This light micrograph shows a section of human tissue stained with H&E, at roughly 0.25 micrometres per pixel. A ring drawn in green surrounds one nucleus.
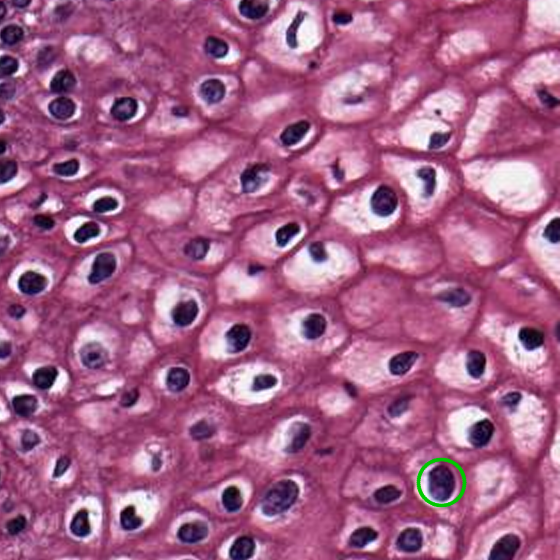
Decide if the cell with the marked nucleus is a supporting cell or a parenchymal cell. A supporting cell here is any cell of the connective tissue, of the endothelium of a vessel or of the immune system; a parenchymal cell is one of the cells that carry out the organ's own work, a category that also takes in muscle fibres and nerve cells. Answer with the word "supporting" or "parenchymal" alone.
parenchymal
